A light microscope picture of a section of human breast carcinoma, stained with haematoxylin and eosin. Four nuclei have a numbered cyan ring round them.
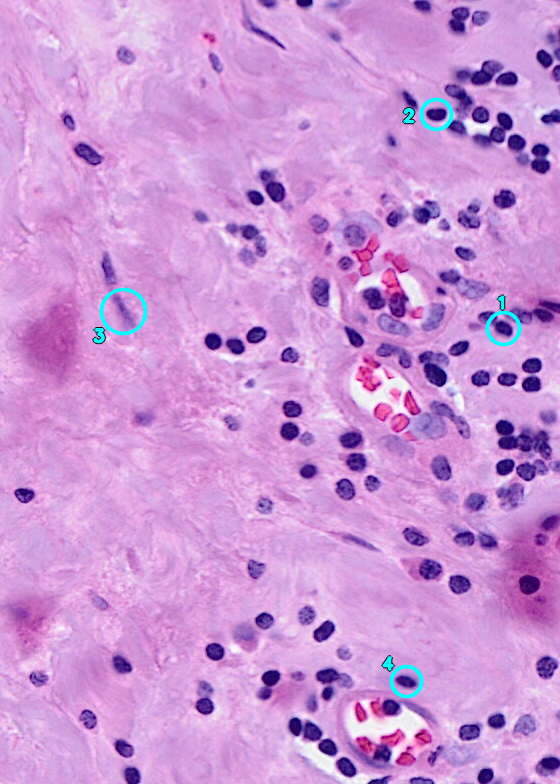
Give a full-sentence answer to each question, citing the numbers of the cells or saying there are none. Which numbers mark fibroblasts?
Only one marked cell, number 3, is a fibroblast.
